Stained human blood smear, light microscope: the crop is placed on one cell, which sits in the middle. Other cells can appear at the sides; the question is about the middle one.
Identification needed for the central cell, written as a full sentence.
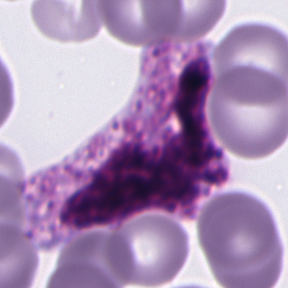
The cell shown in the center of this light-microscope crop is a basophil.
